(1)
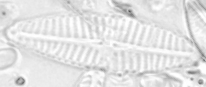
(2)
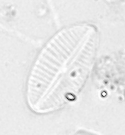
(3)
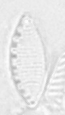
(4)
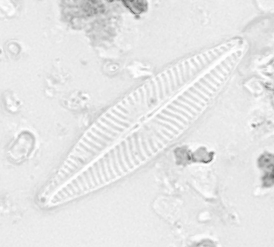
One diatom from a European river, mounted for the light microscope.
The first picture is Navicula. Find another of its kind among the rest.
Picture 4.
